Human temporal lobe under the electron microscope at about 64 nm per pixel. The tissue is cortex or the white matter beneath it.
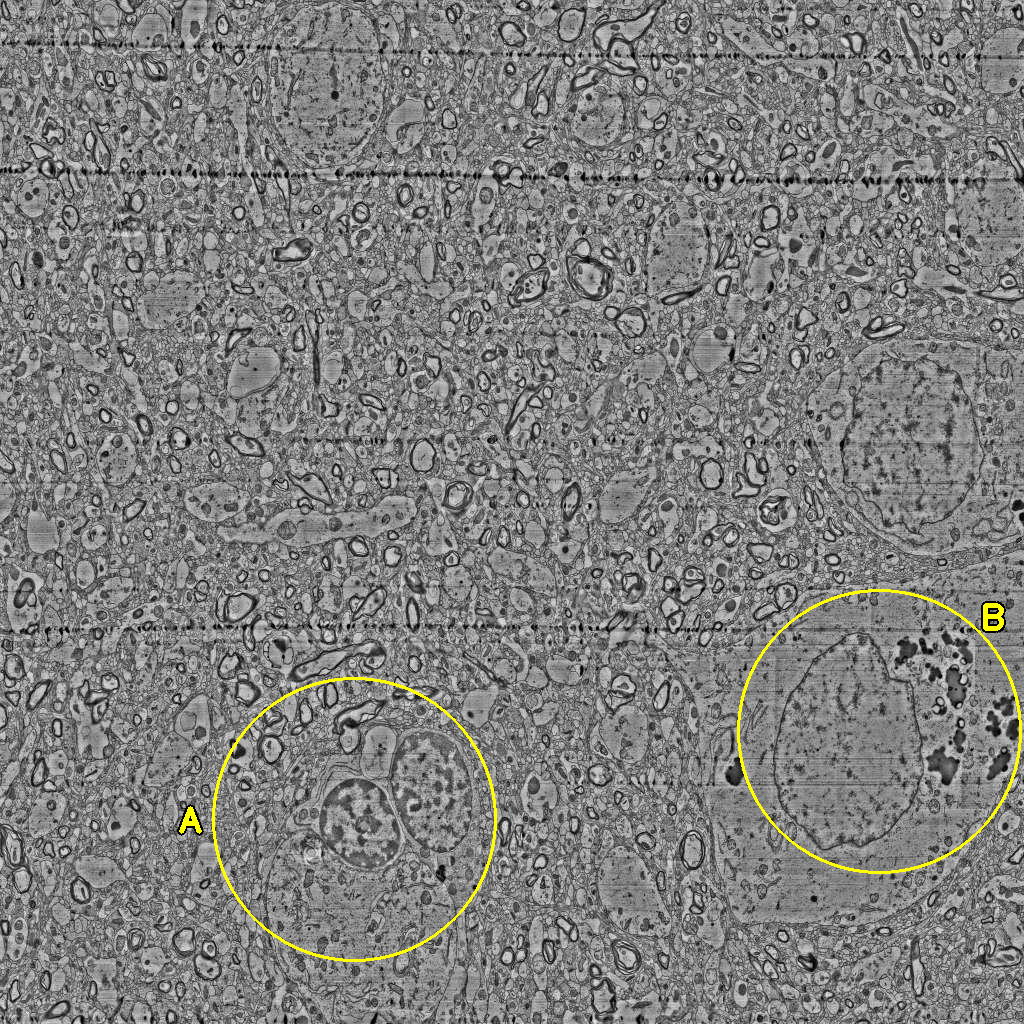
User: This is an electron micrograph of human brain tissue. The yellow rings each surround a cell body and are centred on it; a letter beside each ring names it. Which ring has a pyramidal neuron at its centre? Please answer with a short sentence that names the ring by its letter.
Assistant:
Ring B has it at its centre.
